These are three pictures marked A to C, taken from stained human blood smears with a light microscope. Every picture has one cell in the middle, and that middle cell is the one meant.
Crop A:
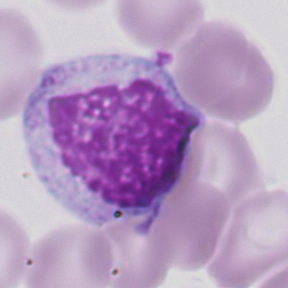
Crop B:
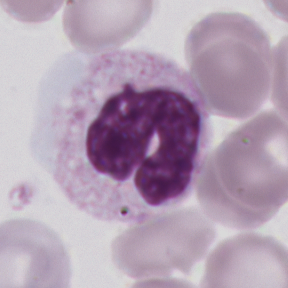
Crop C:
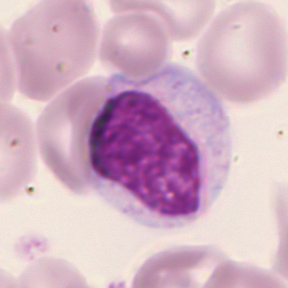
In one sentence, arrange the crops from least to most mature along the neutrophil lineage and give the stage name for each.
The least to most mature sequence reads crop A (a myelocyte), crop C (a metamyelocyte) and crop B (a band neutrophil).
